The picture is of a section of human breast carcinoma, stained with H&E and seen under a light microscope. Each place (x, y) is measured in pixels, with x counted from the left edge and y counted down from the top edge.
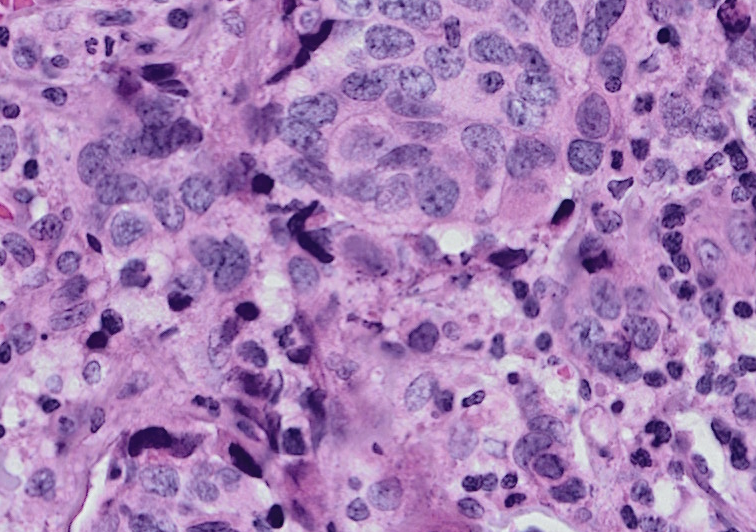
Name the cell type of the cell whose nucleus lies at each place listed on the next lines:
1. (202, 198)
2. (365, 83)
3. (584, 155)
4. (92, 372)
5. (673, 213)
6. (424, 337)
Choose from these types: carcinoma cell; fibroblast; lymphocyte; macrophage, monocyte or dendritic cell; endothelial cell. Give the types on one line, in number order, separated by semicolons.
carcinoma cell; carcinoma cell; carcinoma cell; macrophage, monocyte or dendritic cell; lymphocyte; carcinoma cell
